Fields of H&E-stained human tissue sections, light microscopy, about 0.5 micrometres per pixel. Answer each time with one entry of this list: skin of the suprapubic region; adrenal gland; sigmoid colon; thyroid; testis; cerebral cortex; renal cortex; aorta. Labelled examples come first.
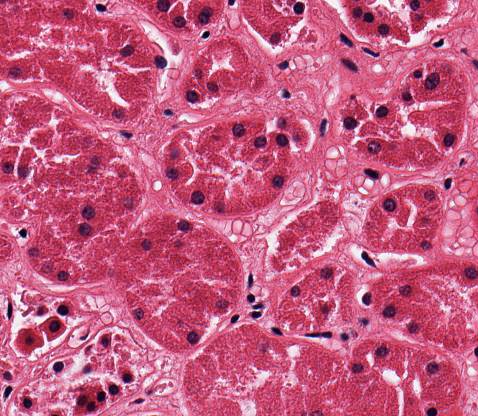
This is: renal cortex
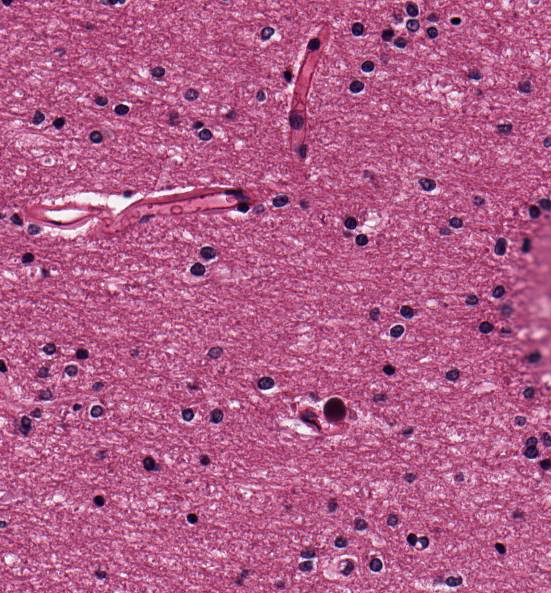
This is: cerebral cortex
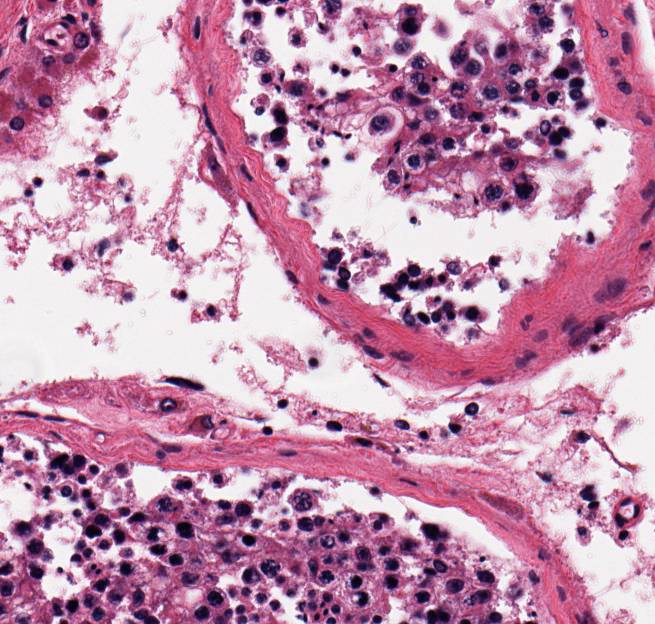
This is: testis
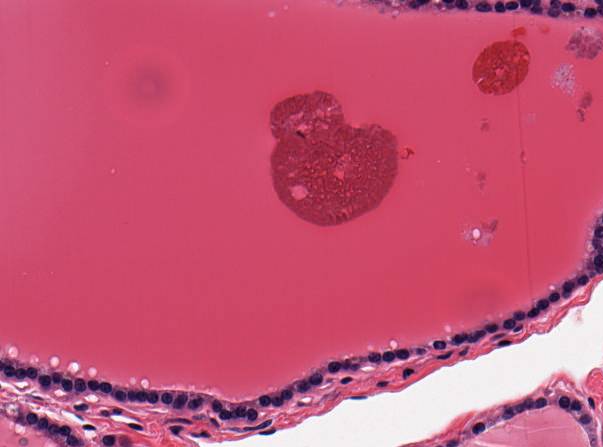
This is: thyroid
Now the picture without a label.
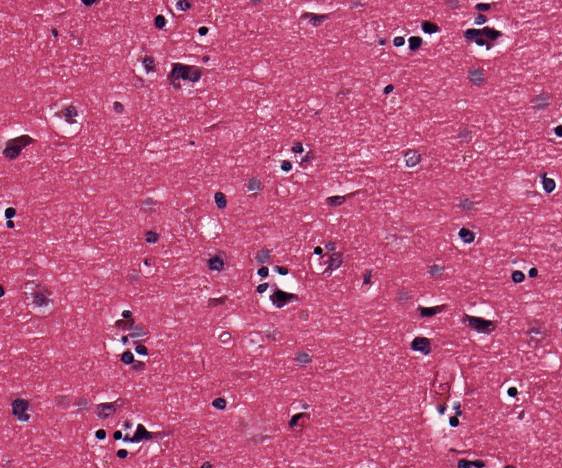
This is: cerebral cortex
